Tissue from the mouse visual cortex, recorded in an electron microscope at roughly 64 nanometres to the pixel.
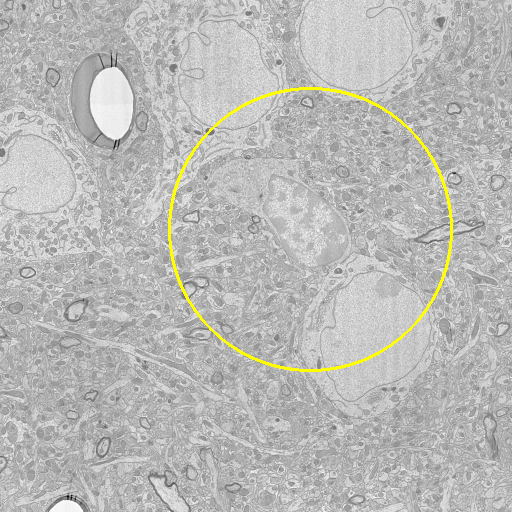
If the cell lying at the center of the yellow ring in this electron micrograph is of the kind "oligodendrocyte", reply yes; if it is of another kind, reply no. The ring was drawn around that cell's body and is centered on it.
yes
